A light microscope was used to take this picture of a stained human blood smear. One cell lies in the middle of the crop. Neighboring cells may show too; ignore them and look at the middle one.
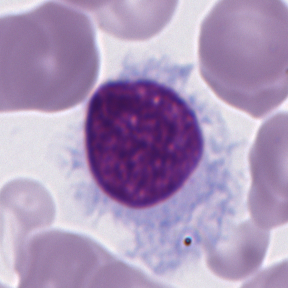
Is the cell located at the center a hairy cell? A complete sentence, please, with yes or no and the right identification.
Yes, this crop has a hairy cell at its centre.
